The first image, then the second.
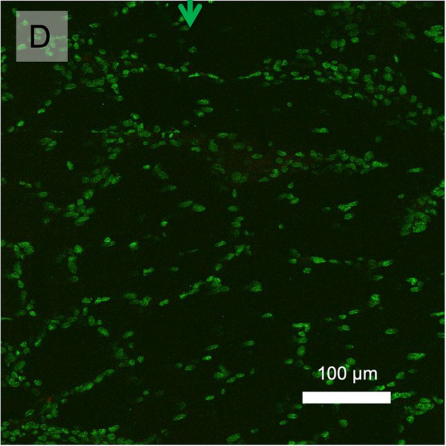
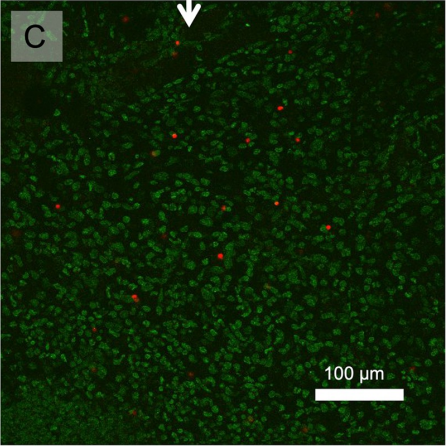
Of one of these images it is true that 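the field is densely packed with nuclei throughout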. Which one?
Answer: The second image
